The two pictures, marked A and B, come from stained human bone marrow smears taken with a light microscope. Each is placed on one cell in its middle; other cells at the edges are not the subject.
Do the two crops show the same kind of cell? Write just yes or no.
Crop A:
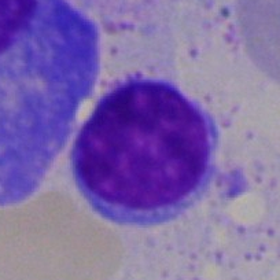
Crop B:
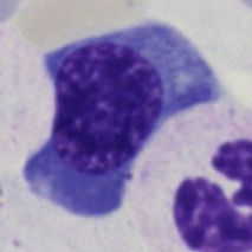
no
